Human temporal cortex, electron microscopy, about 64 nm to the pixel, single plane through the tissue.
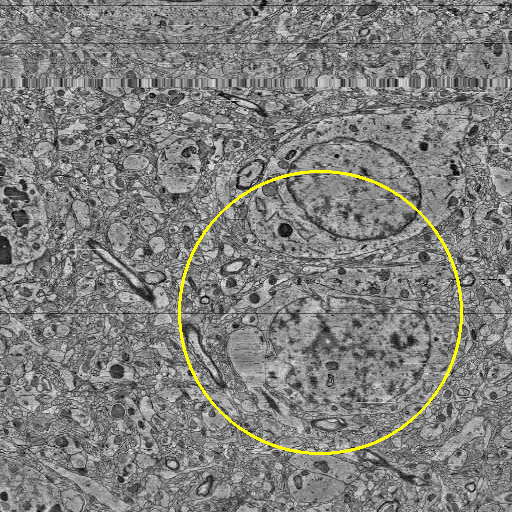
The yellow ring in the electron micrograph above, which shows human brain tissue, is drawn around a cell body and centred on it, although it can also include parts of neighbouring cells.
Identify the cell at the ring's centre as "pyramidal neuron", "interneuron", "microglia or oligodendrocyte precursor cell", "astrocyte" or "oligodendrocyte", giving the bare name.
interneuron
